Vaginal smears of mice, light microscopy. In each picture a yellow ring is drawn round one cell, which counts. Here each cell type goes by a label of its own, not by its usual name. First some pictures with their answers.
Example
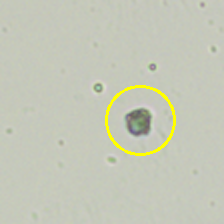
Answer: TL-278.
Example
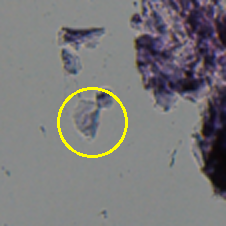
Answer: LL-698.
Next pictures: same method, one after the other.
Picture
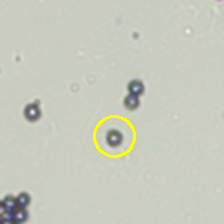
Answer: TL-278.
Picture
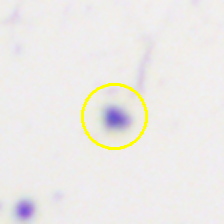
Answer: TL-278.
